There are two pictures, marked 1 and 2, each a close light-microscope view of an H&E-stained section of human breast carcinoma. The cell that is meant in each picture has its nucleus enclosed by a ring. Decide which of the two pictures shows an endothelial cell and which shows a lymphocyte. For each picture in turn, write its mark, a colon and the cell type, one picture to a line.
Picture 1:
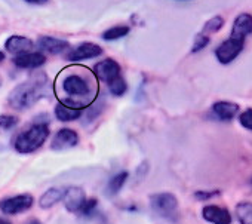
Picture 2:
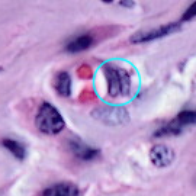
1: lymphocyte
2: endothelial cell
